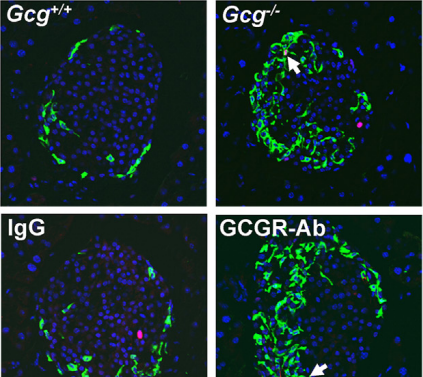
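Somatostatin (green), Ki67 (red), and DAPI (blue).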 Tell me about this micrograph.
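Four fluorescence images each show a rounded pancreatic islet, a compact cluster of blue nuclei set in the surrounding tissue. A few nuclei are red, and white arrows point to green cells with a red nucleus.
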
